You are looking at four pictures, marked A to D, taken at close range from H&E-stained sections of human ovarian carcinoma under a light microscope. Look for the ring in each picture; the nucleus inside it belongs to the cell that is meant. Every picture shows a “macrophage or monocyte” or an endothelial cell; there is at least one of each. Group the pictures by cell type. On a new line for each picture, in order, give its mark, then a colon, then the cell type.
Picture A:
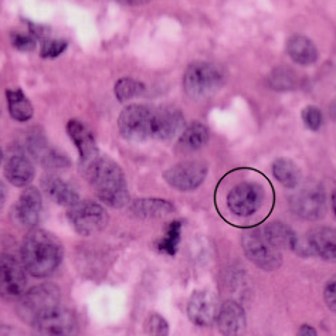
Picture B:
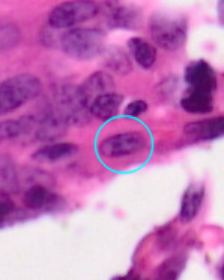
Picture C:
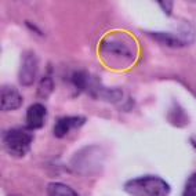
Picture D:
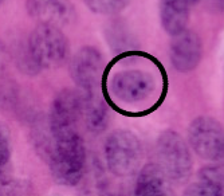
A: macrophage or monocyte
B: endothelial cell
C: endothelial cell
D: macrophage or monocyte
